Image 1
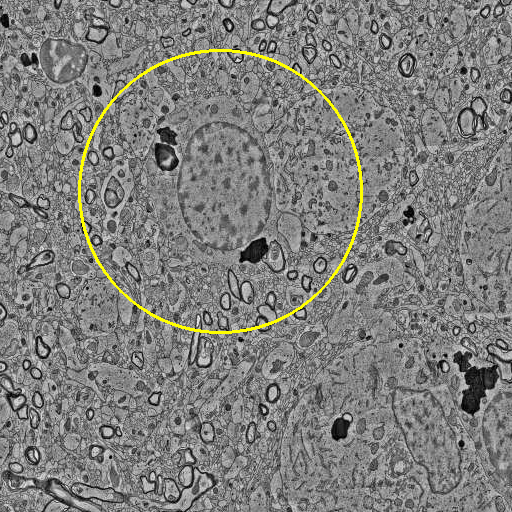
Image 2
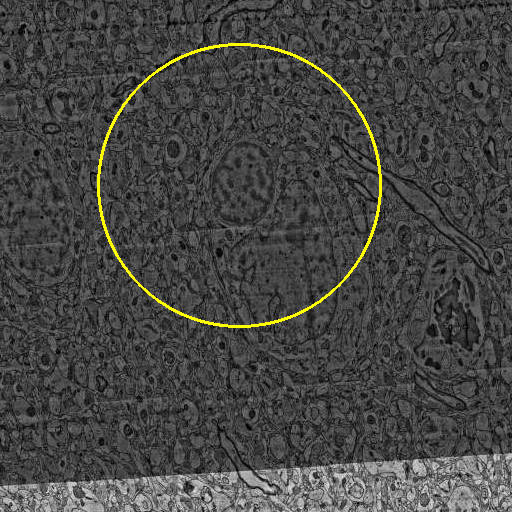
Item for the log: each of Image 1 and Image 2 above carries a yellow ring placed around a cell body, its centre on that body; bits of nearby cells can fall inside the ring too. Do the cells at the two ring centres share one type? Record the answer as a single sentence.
Yes, the two cells at the ring centres in Image 1 and Image 2 share one type.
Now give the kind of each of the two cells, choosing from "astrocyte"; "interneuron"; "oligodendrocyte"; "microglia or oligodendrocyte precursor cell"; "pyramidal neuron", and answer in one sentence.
In both pictures the ring is centred on an oligodendrocyte.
